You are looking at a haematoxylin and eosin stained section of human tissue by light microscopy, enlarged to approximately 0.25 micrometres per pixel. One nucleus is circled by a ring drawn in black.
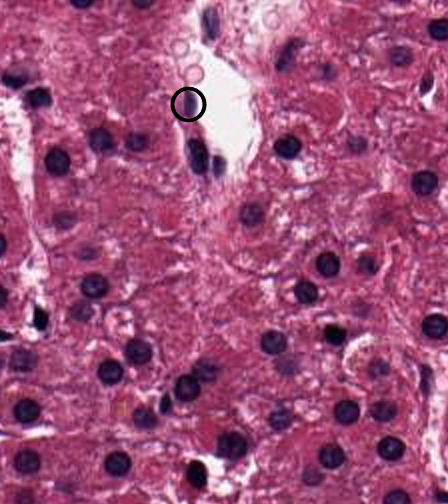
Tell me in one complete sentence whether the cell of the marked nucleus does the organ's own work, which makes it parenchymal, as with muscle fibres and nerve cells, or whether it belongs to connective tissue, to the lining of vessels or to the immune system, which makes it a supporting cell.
The marked nucleus is part of a supporting cell.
